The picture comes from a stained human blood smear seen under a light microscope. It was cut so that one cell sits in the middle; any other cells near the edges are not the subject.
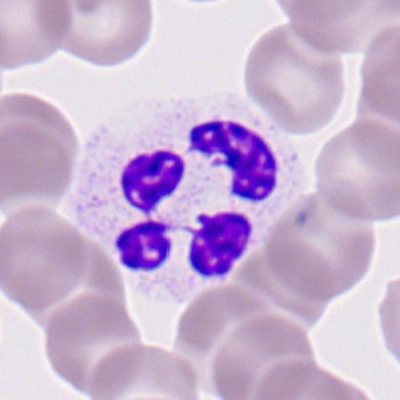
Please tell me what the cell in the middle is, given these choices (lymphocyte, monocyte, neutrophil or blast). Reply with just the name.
neutrophil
